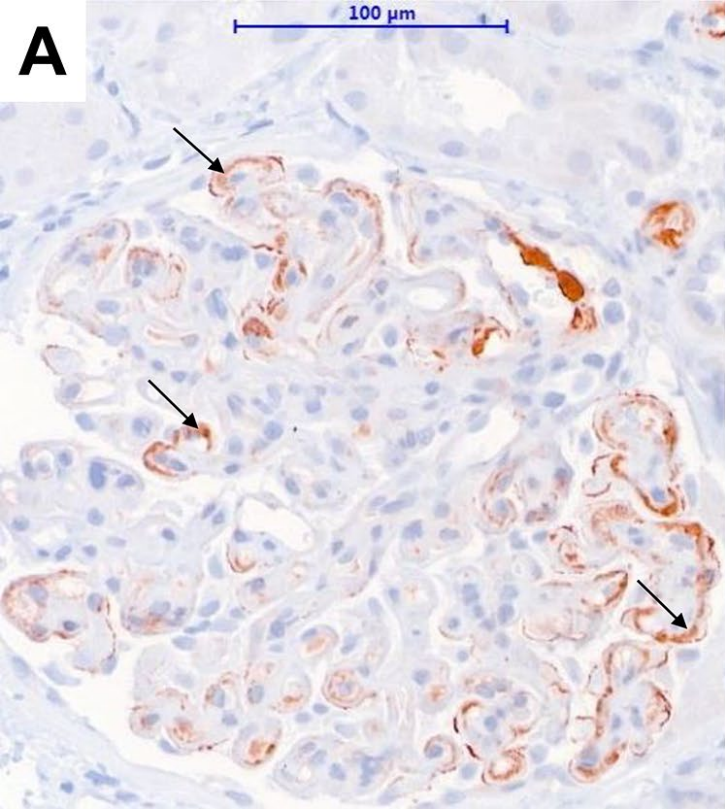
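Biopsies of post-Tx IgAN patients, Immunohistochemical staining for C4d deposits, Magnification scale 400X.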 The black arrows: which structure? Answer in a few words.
Peripheral capillary loops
